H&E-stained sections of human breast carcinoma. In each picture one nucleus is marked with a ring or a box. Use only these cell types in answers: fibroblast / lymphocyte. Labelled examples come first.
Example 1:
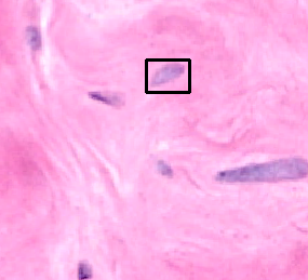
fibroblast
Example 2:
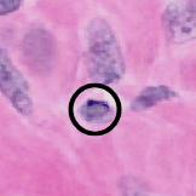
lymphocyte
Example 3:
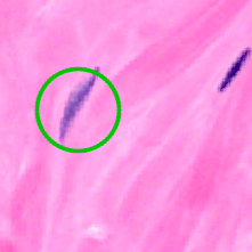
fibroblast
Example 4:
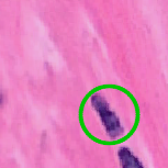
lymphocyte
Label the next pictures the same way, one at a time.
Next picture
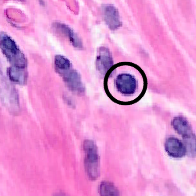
lymphocyte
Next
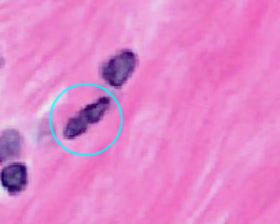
lymphocyte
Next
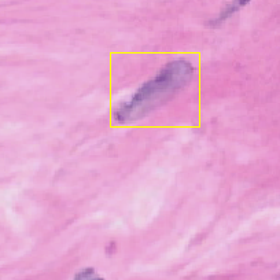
fibroblast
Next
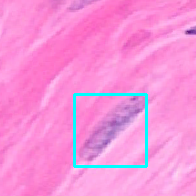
fibroblast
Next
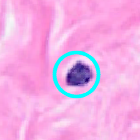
lymphocyte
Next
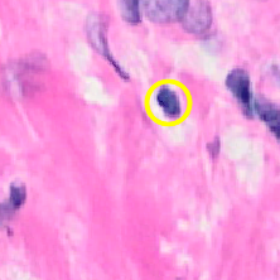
lymphocyte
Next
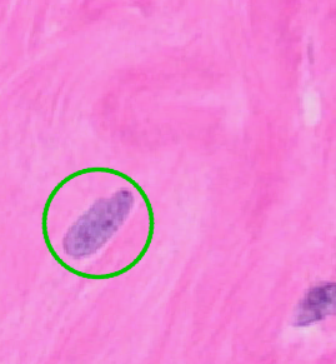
fibroblast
